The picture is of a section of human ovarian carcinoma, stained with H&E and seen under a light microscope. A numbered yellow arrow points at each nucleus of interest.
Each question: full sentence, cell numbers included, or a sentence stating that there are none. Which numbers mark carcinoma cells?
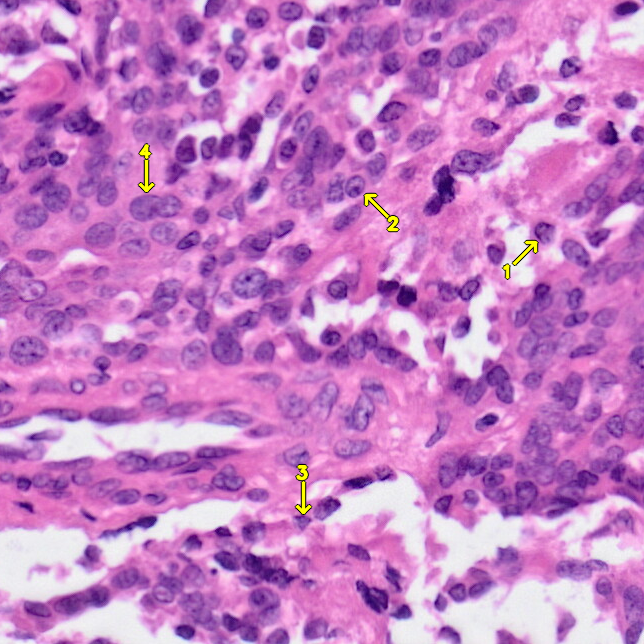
The nucleus labelled 4 alone belongs to a carcinoma cell; the other marked nuclei do not.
